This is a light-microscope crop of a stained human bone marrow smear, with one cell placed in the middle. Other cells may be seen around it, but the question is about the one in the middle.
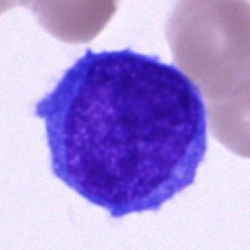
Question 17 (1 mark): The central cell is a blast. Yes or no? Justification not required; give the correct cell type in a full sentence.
Yes, the cell here in the middle is a blast.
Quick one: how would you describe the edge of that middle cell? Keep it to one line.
The border of the cell is irregular, being either ragged or extended into projections.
